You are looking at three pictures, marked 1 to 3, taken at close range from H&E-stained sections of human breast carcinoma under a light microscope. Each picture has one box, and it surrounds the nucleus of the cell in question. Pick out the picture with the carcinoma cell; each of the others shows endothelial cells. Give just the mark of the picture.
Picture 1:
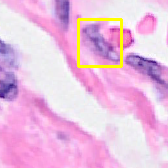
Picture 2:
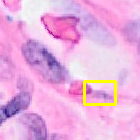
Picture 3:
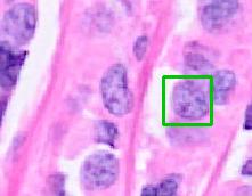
3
